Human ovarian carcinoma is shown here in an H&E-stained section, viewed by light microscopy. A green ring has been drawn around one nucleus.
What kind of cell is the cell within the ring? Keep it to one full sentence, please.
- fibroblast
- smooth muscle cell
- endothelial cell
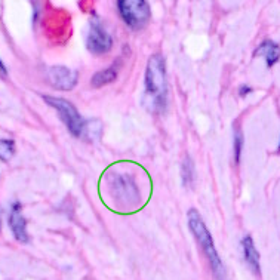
Assigned to a cell type, the cell within the ring is a fibroblast.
